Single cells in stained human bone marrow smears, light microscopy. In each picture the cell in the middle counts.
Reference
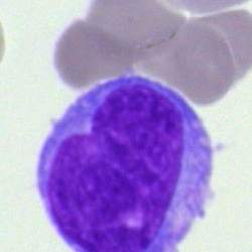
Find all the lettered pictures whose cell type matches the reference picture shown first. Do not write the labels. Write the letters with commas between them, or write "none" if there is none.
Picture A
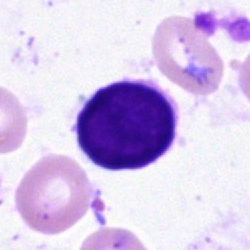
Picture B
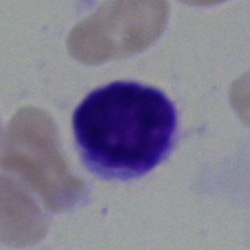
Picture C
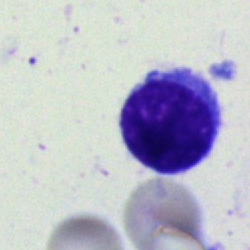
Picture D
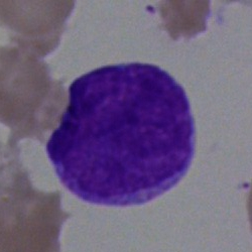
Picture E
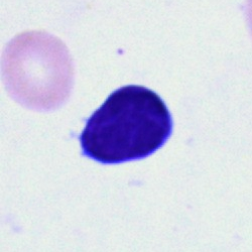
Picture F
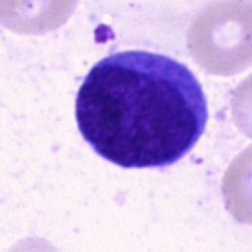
D, F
